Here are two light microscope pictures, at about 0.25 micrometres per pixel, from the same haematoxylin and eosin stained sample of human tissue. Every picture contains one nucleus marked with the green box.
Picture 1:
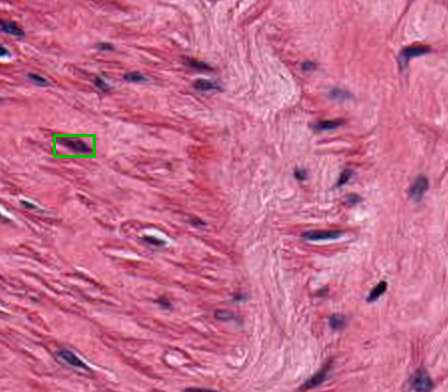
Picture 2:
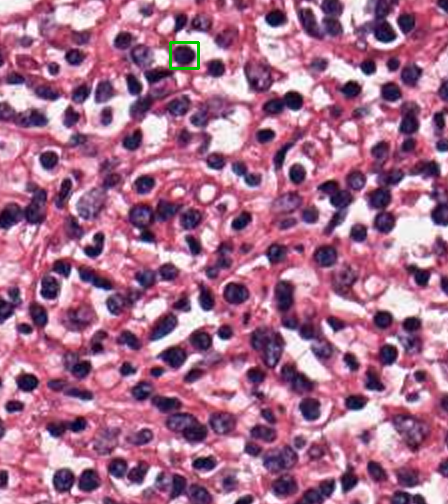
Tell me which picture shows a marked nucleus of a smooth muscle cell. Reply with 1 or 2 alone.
1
